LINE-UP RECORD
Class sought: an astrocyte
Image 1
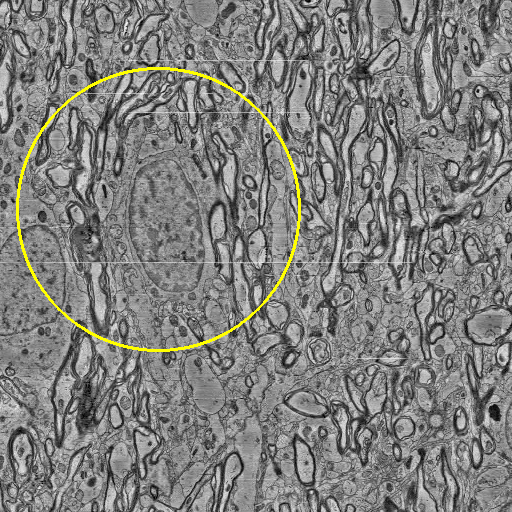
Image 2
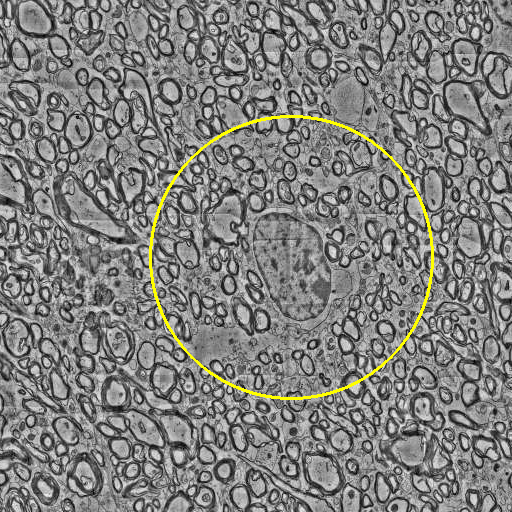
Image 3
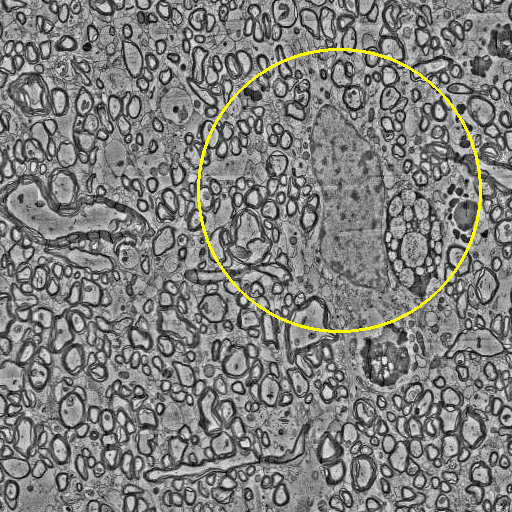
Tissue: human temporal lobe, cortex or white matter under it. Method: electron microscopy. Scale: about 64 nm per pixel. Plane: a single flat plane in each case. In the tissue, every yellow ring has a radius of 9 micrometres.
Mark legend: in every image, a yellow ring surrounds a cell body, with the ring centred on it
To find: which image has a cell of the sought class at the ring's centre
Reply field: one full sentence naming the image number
The ring-centred cell of image 3 belongs to the class sought.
